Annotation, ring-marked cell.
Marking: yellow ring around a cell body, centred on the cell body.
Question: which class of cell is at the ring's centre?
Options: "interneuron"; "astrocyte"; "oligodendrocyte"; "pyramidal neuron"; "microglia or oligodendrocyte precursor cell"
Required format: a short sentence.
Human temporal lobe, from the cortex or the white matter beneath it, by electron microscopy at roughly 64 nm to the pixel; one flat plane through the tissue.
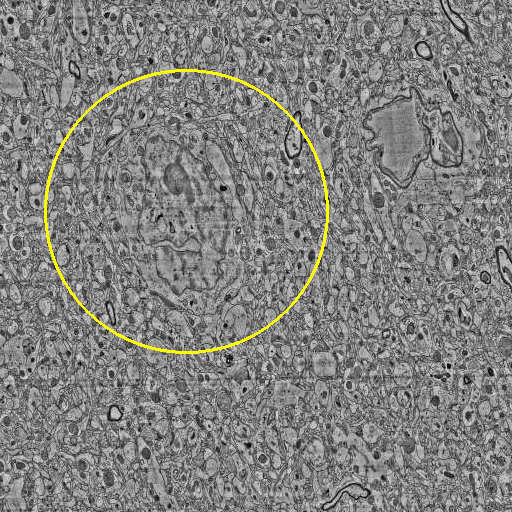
At the ring's centre is an interneuron.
